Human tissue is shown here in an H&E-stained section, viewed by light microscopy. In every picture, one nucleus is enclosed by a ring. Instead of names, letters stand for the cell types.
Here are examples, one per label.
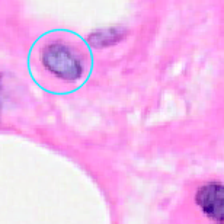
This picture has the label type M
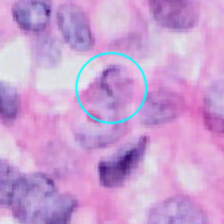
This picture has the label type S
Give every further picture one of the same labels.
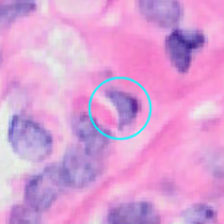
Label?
type M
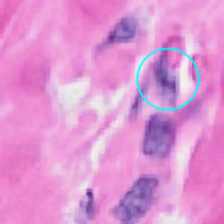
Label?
type M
